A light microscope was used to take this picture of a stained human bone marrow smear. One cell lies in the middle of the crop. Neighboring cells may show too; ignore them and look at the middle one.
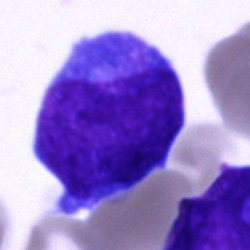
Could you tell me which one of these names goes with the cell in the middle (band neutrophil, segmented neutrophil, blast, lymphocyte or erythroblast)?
blast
